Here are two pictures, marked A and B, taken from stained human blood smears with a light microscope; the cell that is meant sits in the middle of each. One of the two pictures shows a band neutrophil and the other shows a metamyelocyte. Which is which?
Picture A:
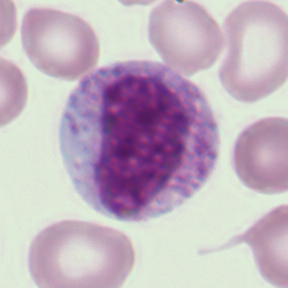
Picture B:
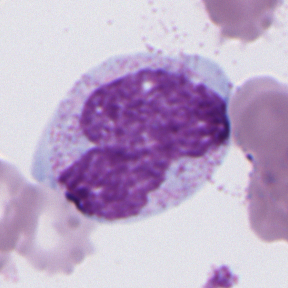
A: metamyelocyte
B: band neutrophil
